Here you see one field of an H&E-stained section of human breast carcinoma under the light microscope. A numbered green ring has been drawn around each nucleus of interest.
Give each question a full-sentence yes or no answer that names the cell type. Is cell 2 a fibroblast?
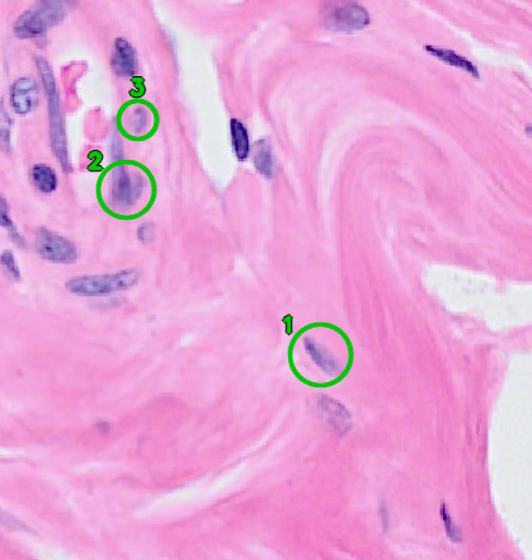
No, cell 2 is not a fibroblast at all but an endothelial cell.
